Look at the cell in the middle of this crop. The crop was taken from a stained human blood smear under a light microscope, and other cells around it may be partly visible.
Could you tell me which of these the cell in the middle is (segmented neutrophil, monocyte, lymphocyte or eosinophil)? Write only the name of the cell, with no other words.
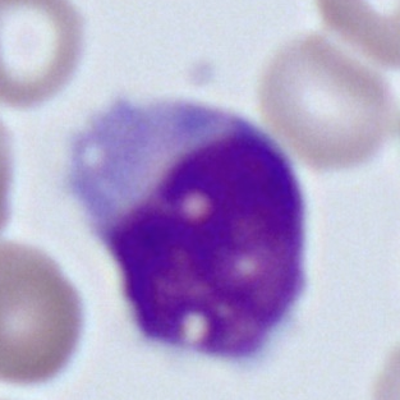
monocyte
